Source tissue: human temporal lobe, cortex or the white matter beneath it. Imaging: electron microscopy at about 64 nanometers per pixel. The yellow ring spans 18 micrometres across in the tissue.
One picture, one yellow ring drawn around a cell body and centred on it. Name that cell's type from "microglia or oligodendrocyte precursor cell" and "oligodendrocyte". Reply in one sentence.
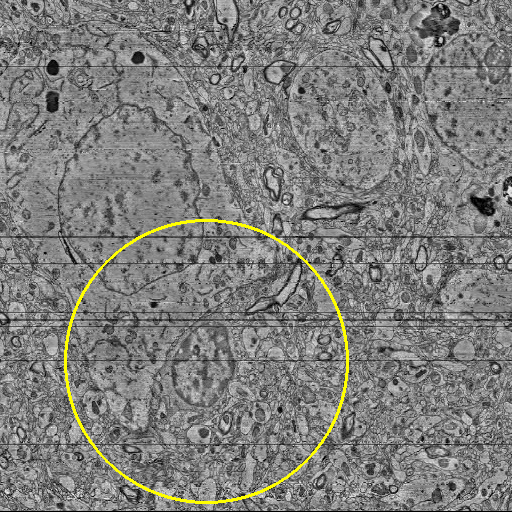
Centred in the ring is an oligodendrocyte.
